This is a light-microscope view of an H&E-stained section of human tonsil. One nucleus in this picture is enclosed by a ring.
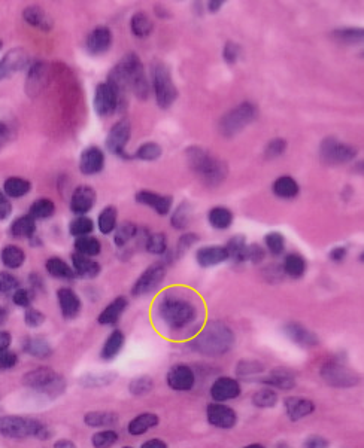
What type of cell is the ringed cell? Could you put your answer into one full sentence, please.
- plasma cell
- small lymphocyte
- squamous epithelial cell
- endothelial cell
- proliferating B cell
With respect to cell type, the ringed cell is an endothelial cell.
